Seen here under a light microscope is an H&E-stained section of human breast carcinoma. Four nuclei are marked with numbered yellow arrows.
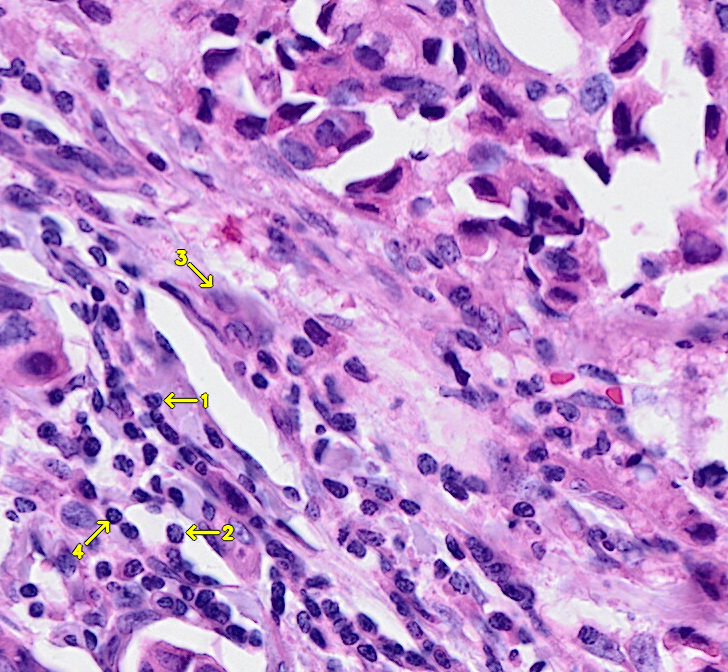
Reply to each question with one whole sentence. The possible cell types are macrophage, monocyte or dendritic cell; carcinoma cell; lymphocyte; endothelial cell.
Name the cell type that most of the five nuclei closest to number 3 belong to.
Endothelial cells make up most of the five nuclei closest to number 3.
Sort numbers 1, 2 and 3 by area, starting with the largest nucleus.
The nuclei rank 3, 2, 1, from largest to smallest.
